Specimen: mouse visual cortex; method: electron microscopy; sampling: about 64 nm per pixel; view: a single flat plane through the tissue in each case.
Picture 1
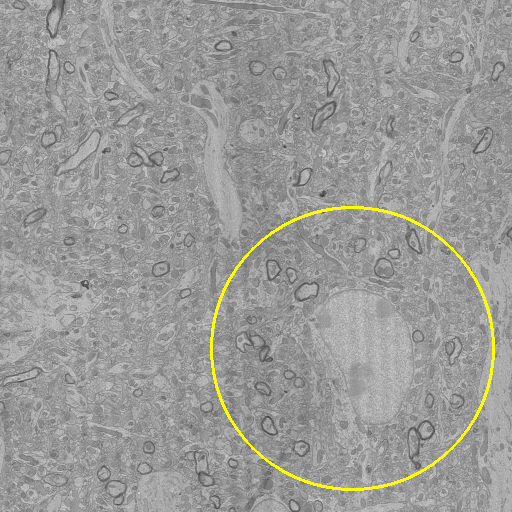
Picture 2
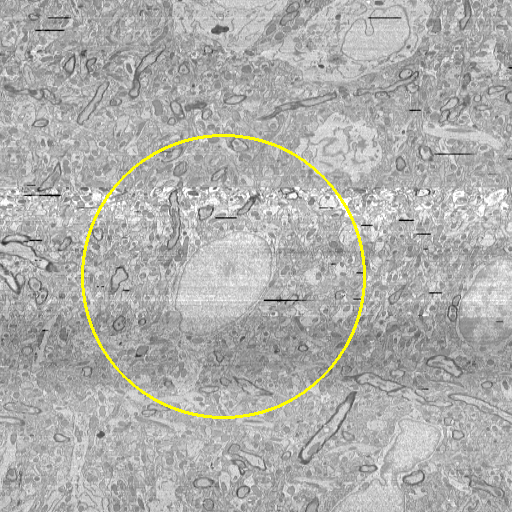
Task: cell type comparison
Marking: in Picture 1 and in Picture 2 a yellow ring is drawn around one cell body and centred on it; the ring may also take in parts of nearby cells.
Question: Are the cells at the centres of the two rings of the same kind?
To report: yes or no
yes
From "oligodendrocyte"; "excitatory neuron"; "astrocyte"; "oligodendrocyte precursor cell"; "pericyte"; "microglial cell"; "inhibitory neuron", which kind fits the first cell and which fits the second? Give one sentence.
The first and the second cell are each an astrocyte.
